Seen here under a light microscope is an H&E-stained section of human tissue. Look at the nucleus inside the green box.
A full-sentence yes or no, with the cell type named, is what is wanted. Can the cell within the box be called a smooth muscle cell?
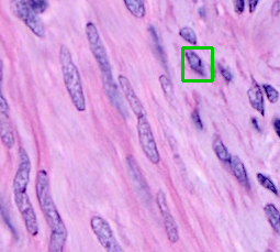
Yes, in this section the cell within the box is a smooth muscle cell.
